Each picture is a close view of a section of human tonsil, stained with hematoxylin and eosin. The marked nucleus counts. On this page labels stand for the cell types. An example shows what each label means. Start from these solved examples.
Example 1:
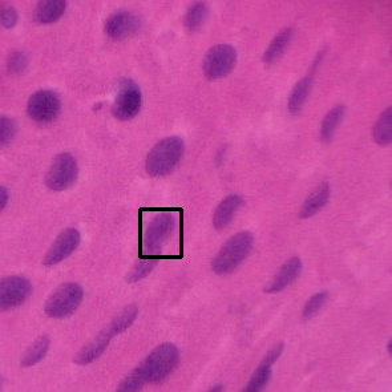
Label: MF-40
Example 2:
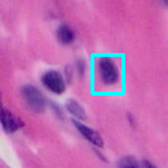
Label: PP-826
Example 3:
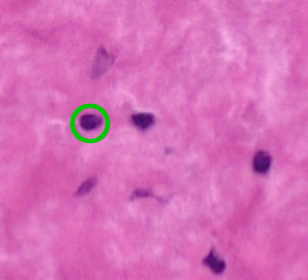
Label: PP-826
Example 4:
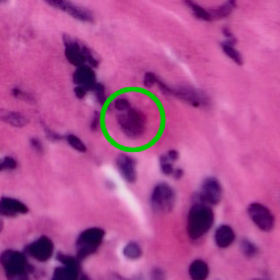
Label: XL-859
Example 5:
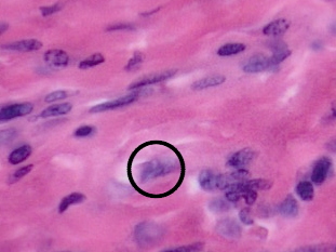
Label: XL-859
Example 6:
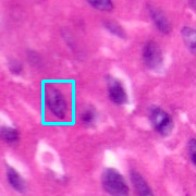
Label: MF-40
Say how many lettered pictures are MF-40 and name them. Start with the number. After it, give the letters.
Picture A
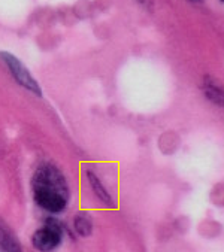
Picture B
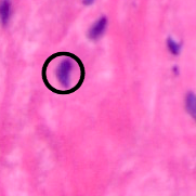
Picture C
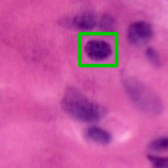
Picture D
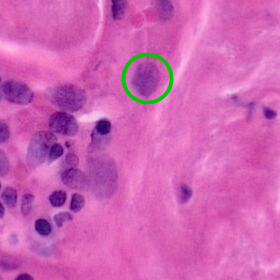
0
